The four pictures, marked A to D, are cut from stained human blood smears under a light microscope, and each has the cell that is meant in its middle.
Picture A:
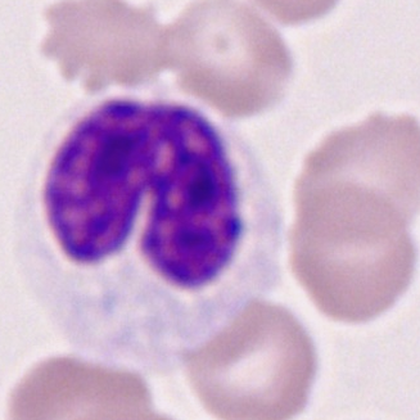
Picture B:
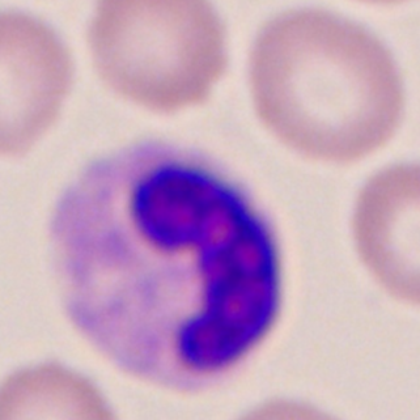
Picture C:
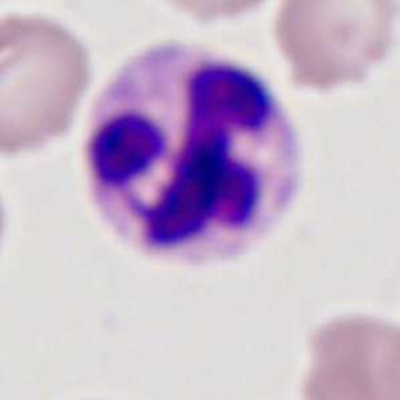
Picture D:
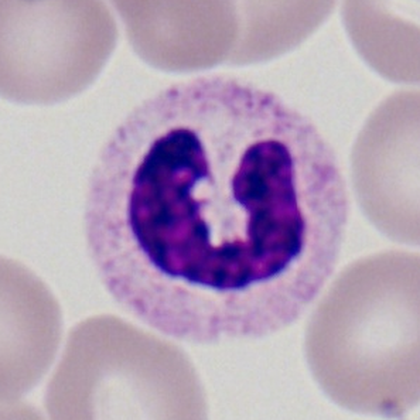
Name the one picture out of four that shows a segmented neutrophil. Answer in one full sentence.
The segmented neutrophil is the one in picture C.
